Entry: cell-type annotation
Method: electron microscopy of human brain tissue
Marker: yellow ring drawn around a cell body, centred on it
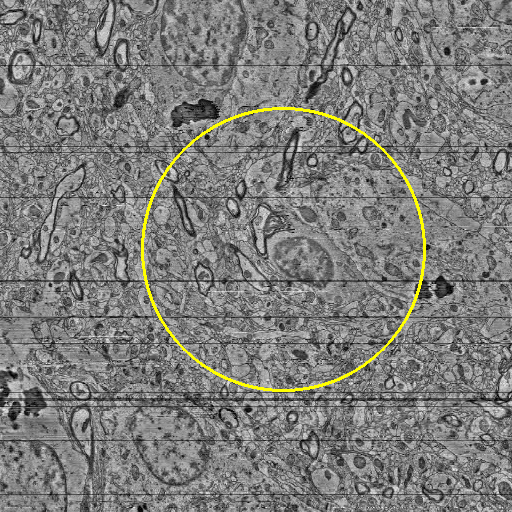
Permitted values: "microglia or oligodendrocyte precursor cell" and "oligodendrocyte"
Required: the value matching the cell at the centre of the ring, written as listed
oligodendrocyte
